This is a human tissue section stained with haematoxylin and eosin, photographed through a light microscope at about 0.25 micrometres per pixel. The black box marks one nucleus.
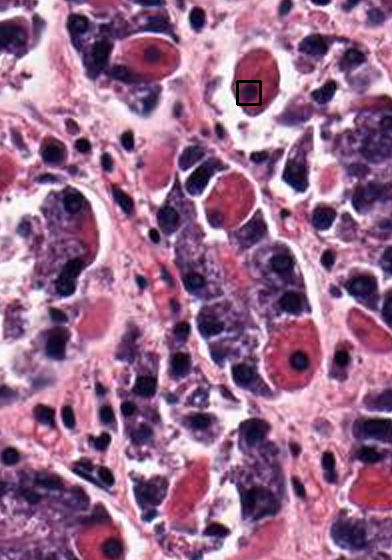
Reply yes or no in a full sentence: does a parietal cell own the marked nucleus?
Yes, what is marked here is the nucleus of a parietal cell.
